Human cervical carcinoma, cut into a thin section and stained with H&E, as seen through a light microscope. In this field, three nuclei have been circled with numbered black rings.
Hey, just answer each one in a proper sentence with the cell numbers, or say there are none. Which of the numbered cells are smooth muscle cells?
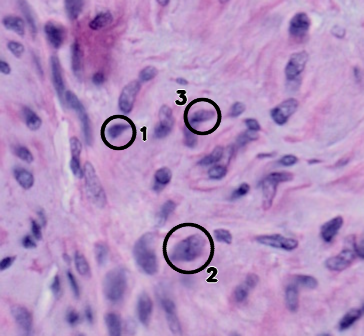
Cell 3 is the only numbered cell that is a smooth muscle cell.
